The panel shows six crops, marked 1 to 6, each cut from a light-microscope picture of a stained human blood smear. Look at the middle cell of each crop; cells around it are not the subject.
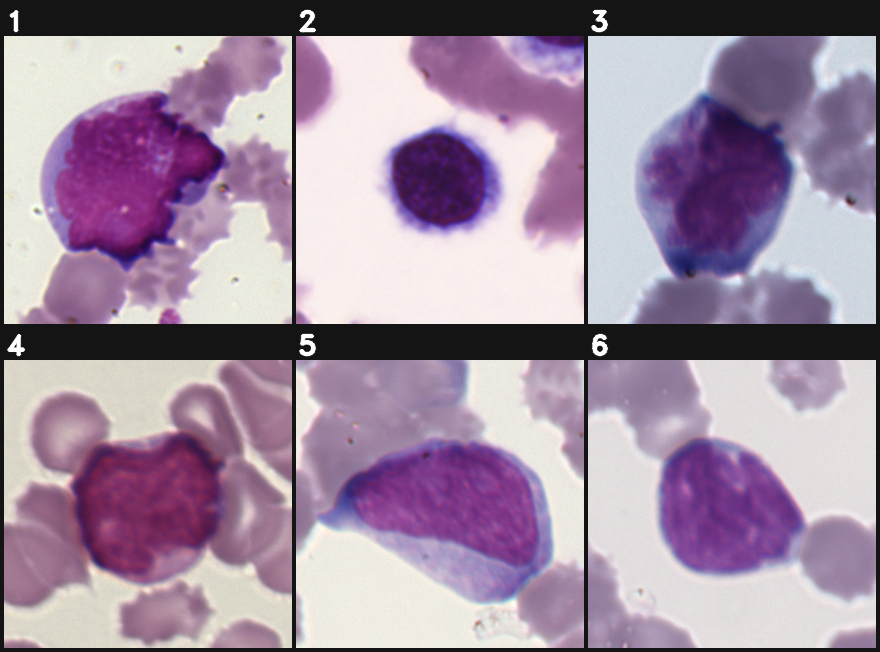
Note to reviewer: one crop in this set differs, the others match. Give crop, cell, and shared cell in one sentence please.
Crop 2 is a hairy cell, unlike the other crops, which all show blasts.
